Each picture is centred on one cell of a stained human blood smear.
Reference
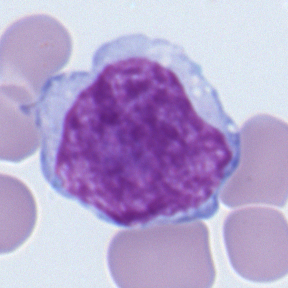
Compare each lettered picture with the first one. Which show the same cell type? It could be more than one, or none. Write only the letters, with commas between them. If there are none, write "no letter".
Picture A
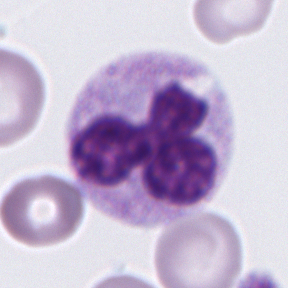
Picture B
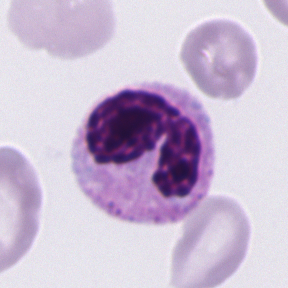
no letter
